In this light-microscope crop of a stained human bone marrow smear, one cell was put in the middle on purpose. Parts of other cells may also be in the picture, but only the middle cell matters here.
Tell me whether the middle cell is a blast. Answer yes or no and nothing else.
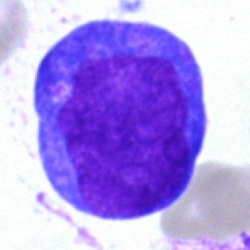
no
